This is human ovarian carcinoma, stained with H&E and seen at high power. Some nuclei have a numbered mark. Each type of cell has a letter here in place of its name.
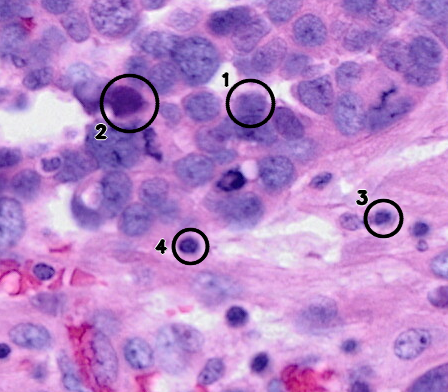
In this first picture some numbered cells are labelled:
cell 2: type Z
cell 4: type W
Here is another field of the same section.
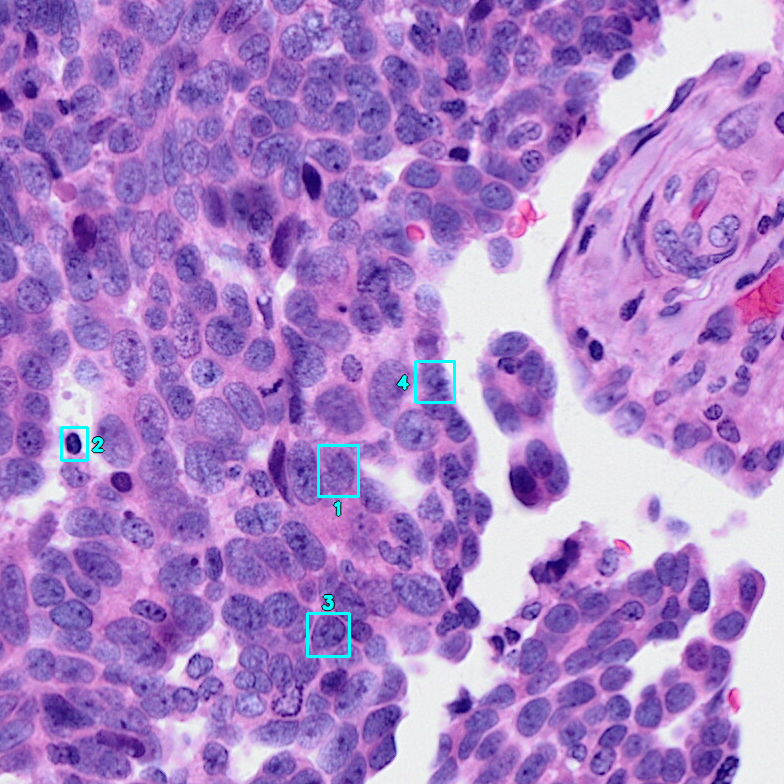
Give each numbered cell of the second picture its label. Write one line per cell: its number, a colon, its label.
1: type Z
2: type W
3: type Z
4: type Z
